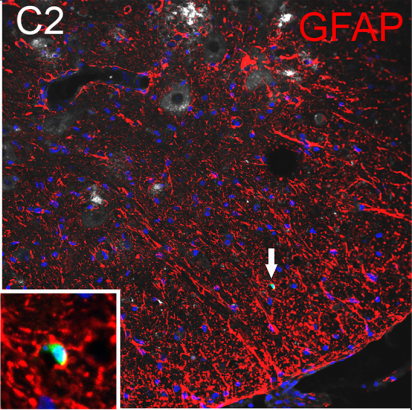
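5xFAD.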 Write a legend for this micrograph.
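Small blue nuclei are scattered throughout, and larger pale gray cell bodies of neurons are visible in places. Bright white patchy deposits lie in the upper part of the field. A single small nucleus marked by an arrow is green, and the enlarged inset shows it embedded among the red processes. Coarser red processes gather toward the lower right edge of the tissue.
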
